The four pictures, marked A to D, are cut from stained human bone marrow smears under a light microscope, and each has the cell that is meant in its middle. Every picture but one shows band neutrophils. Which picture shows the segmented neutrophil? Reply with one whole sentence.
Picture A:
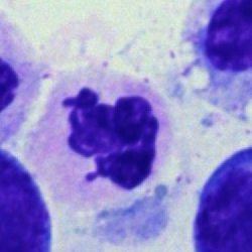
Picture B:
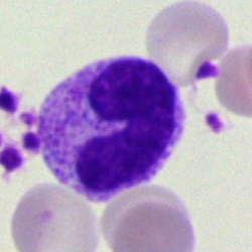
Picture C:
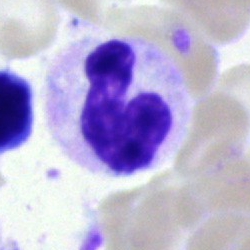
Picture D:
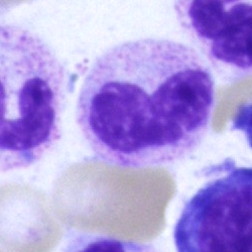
It is picture A that shows the segmented neutrophil.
